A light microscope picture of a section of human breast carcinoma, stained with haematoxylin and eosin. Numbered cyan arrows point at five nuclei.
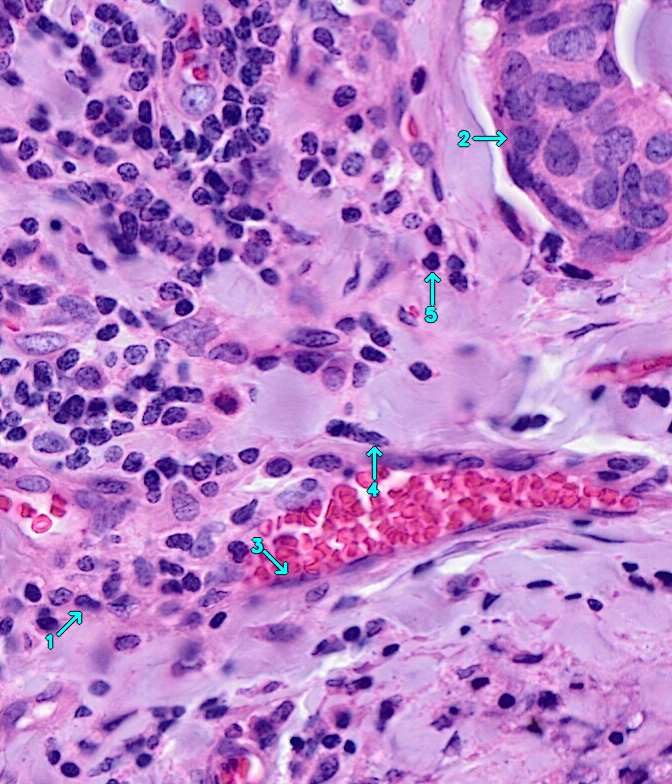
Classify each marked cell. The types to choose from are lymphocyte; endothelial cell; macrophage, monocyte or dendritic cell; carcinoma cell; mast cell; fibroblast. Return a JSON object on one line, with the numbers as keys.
{"1": "lymphocyte", "2": "carcinoma cell", "3": "endothelial cell", "4": "lymphocyte", "5": "lymphocyte"}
